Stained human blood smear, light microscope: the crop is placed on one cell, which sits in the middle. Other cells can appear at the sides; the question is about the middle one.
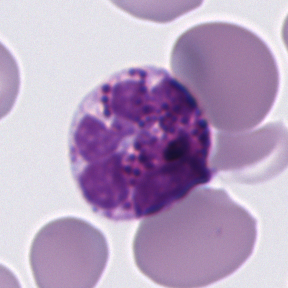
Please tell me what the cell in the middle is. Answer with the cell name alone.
basophil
